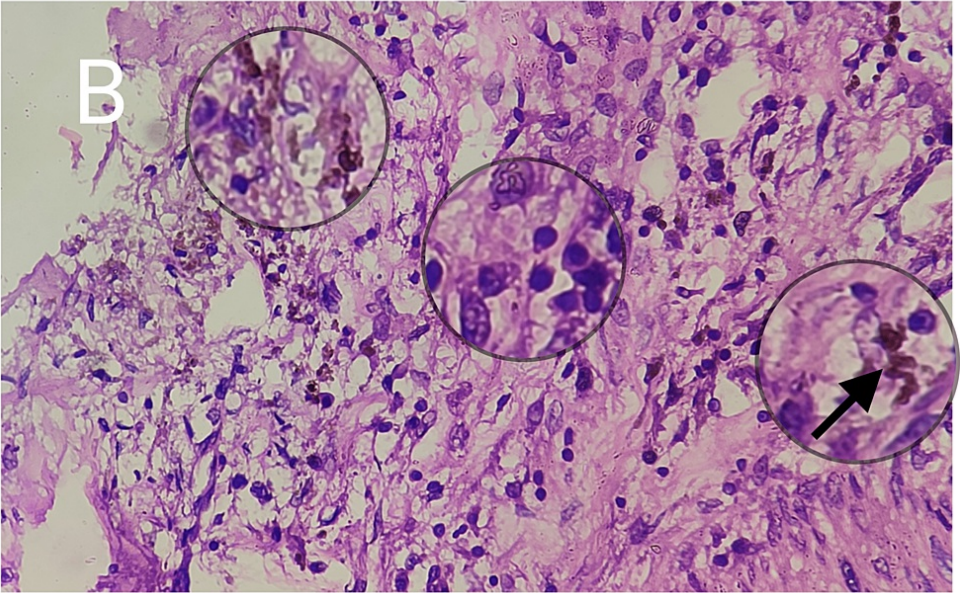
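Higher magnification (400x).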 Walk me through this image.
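Loose, vacuolated pink stroma contains spindled and rounded cells with purple nuclei together with focal deposits of coarse golden-brown granular pigment. The brown granules form small clusters scattered through the tissue, some lying within or beside cells. Some cells have larger oval nuclei with open chromatin, and the stroma contains clear spaces between strands of pink material.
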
